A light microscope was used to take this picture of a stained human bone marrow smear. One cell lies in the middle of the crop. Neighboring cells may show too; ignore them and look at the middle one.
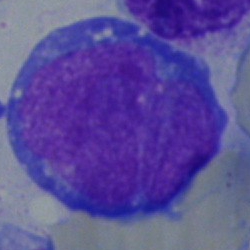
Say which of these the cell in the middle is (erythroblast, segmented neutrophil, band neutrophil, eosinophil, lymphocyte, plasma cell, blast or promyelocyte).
blast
